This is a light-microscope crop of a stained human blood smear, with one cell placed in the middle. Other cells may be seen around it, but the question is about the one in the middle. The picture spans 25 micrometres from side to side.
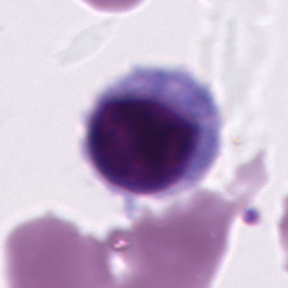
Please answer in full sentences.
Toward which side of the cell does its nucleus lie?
The nucleus is pushed toward the lower left of the cell.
